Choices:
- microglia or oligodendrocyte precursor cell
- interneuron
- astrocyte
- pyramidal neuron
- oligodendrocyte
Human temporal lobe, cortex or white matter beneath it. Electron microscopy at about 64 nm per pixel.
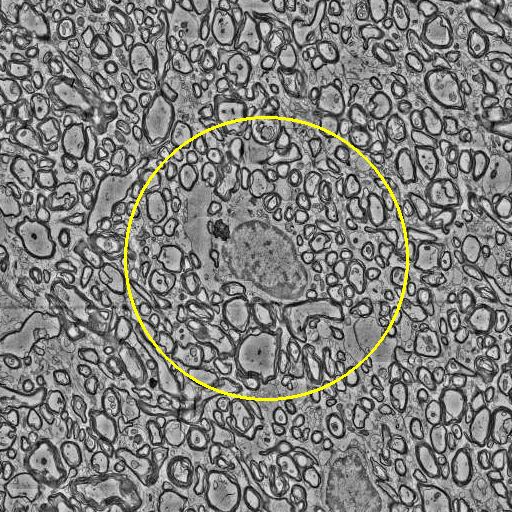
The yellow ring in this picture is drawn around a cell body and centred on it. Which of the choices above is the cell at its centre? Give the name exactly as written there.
oligodendrocyte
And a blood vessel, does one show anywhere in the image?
No, there is no blood vessel.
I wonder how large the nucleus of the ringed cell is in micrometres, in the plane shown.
In this plane the nucleus spans approximately 6 by 4 micrometers.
